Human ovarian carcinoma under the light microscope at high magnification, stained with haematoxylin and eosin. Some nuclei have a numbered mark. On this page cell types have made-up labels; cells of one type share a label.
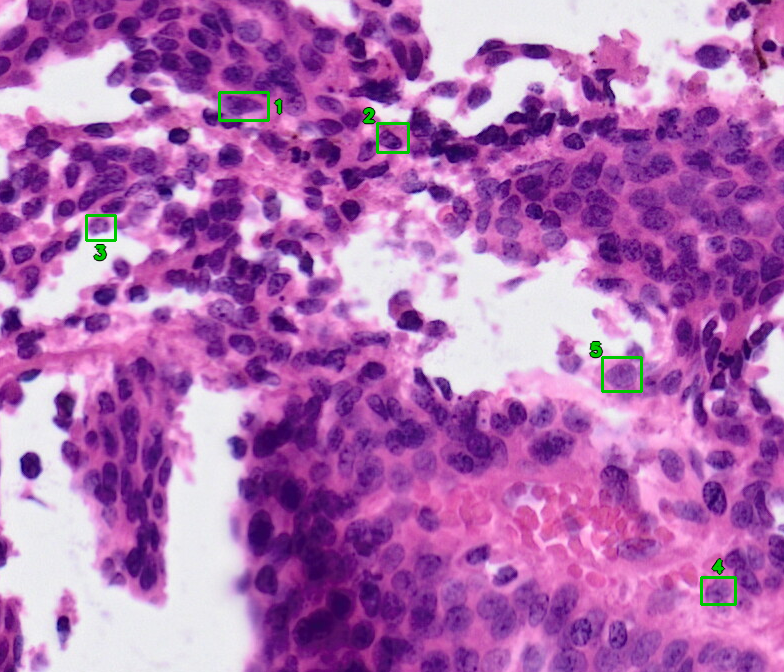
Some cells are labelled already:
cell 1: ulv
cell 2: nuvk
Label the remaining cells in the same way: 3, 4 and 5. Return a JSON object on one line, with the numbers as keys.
{"3": "ulv", "4": "nuvk", "5": "ulv"}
